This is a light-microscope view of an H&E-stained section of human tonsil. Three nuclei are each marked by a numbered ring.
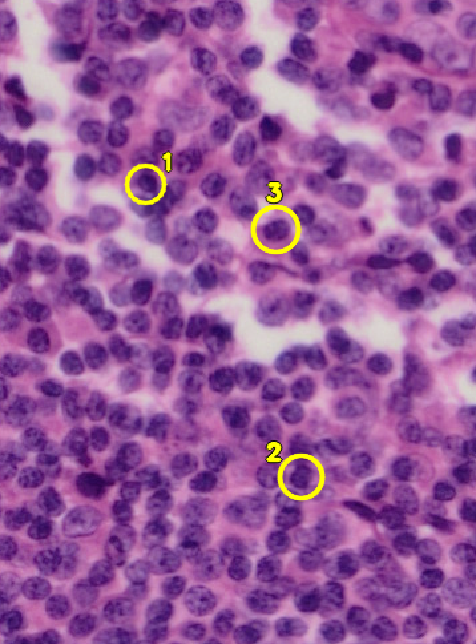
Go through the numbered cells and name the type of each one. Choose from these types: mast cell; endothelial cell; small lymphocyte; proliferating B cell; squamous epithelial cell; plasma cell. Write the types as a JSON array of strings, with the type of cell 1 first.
["small lymphocyte", "small lymphocyte", "plasma cell"]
